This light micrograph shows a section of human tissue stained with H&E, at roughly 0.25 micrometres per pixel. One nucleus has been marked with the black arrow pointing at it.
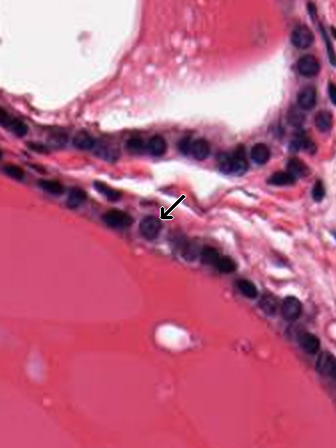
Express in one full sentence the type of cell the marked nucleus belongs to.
As shown, the marked nucleus belongs to a thyroid follicular cell.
